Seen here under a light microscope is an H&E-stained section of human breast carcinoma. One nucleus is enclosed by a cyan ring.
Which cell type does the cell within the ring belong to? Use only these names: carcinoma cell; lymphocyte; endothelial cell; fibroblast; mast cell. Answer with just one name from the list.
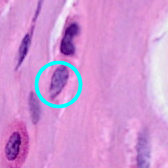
mast cell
